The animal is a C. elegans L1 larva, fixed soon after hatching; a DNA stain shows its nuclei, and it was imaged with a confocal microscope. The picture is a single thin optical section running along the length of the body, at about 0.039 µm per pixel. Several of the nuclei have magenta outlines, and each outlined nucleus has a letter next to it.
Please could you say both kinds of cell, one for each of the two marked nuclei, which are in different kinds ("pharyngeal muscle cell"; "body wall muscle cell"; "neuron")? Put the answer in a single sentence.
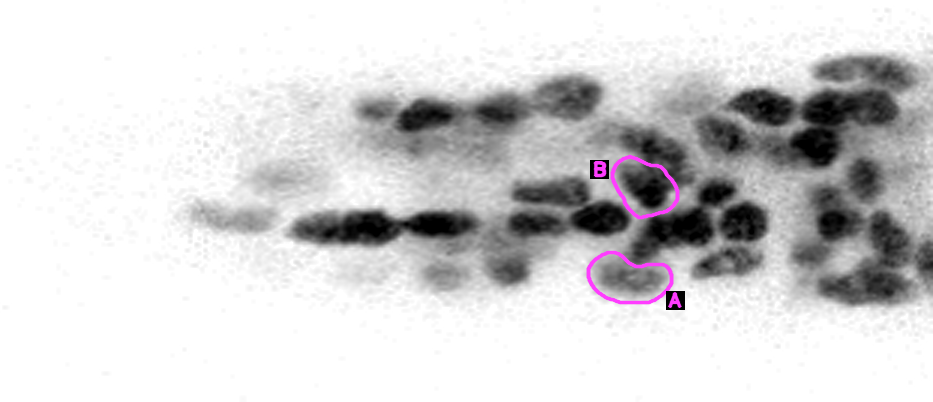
One is from a body wall muscle cell, namely A, and the other, B, is from a pharyngeal muscle cell.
